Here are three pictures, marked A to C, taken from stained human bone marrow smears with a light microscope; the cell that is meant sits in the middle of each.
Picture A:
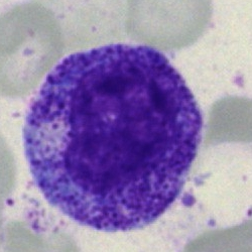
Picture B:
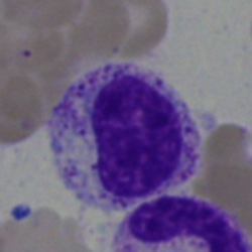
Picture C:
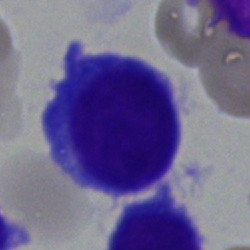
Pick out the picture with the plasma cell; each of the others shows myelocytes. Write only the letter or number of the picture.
C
